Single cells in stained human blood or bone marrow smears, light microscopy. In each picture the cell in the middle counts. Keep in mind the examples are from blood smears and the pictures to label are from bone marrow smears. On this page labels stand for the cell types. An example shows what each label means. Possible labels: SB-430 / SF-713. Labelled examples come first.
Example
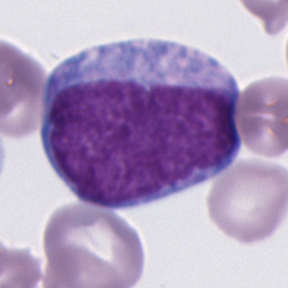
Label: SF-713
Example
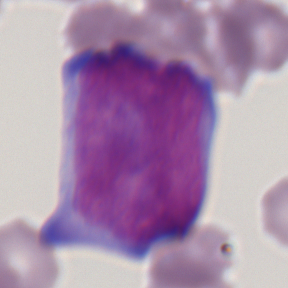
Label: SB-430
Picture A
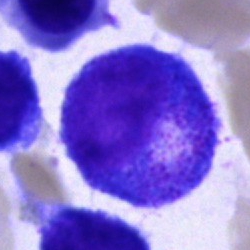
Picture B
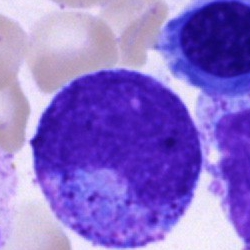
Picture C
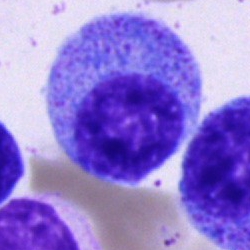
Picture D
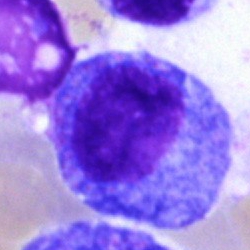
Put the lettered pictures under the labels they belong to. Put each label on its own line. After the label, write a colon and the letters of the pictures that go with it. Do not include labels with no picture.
SF-713: A, B, C, D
